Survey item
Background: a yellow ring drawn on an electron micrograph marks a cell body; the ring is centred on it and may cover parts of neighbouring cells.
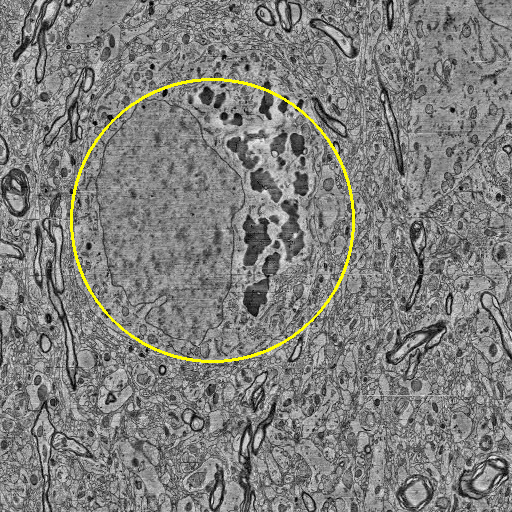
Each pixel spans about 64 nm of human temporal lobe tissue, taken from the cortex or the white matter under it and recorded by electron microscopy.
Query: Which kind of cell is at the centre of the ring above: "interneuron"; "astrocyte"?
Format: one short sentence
The cell in the middle of the ring is an interneuron.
